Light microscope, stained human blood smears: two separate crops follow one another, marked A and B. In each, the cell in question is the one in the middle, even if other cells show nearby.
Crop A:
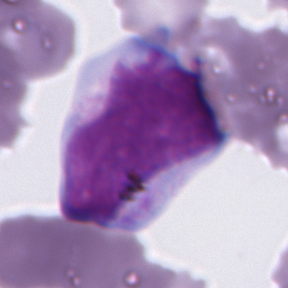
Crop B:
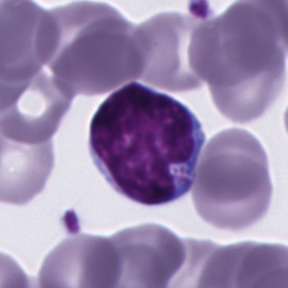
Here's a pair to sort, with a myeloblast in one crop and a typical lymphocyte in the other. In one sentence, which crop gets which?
Crop B shows a typical lymphocyte, and crop A shows a myeloblast.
